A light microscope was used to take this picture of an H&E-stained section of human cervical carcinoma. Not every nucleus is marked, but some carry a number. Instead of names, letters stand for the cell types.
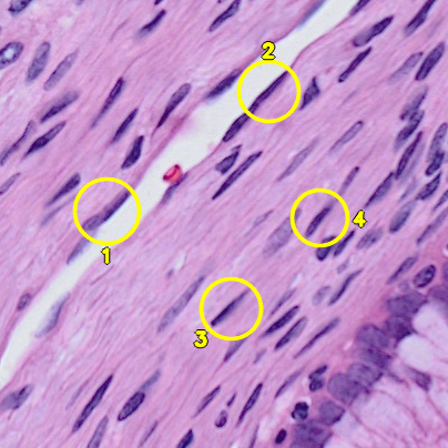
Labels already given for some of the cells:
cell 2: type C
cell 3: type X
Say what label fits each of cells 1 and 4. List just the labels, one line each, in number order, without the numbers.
type C
type X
